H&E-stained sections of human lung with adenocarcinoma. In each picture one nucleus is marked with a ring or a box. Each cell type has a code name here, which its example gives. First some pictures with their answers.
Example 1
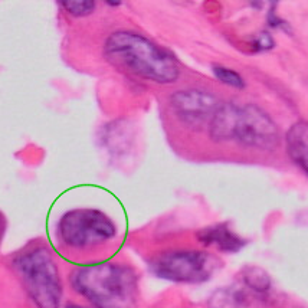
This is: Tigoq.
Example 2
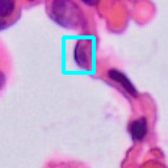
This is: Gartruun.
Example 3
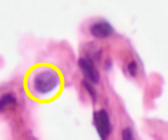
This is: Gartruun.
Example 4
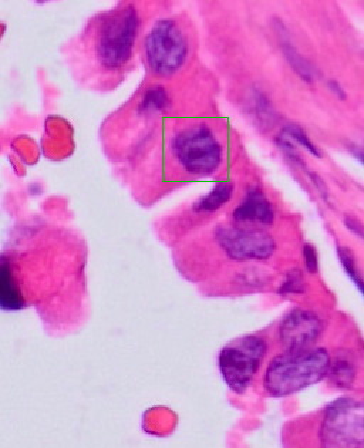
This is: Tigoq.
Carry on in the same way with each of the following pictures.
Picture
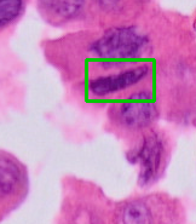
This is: Tigoq.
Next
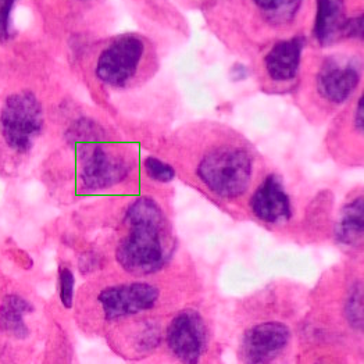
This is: Tigoq.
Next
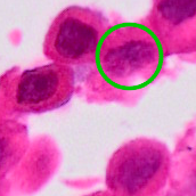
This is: Tigoq.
